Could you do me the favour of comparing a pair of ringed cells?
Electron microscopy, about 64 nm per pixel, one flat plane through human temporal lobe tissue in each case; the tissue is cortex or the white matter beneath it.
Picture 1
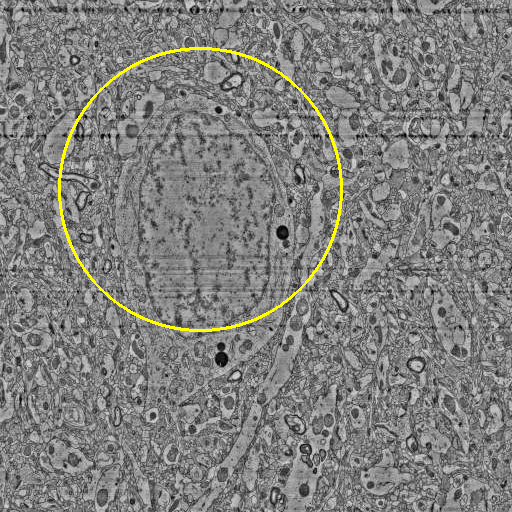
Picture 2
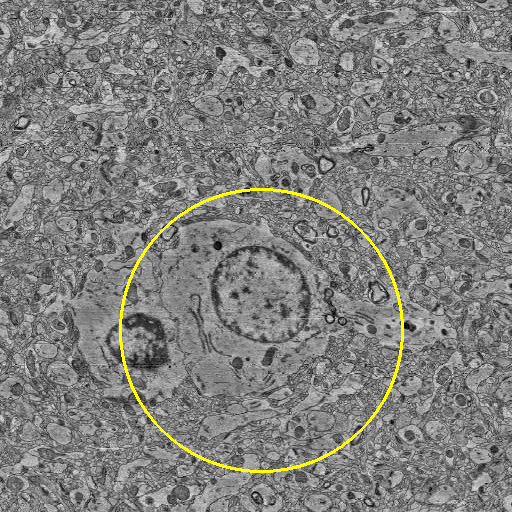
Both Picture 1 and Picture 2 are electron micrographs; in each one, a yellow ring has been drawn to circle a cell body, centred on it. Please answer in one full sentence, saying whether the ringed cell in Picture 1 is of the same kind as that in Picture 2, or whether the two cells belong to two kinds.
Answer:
The ringed cells in Picture 1 and Picture 2 belong to two kinds.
